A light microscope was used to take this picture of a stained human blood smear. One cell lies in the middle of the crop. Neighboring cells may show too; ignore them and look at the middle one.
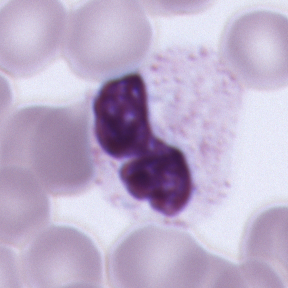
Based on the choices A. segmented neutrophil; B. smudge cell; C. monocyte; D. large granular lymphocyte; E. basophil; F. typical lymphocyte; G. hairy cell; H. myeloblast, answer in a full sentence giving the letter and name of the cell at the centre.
The central cell in this crop is a segmented neutrophil, so the correct choice is option A.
